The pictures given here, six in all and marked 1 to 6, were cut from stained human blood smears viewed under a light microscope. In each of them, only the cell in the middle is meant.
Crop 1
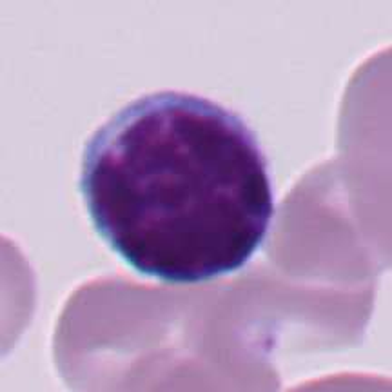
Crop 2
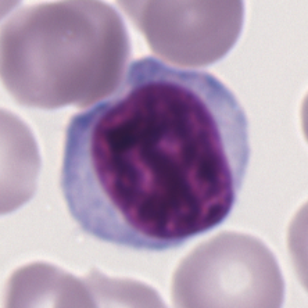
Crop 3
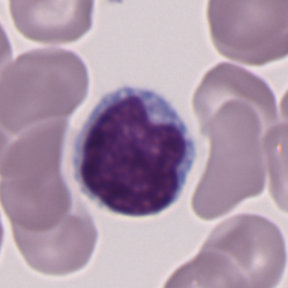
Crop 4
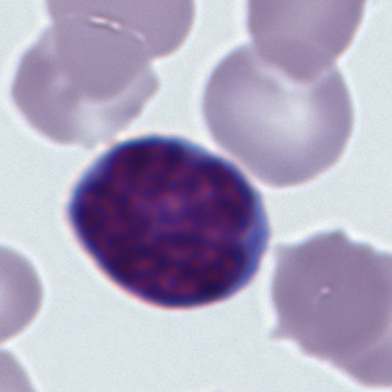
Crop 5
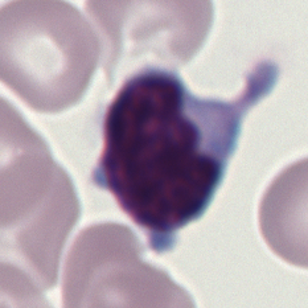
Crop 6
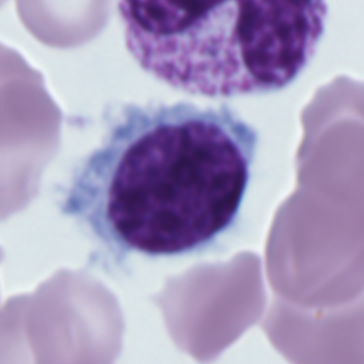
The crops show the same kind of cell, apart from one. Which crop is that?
6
